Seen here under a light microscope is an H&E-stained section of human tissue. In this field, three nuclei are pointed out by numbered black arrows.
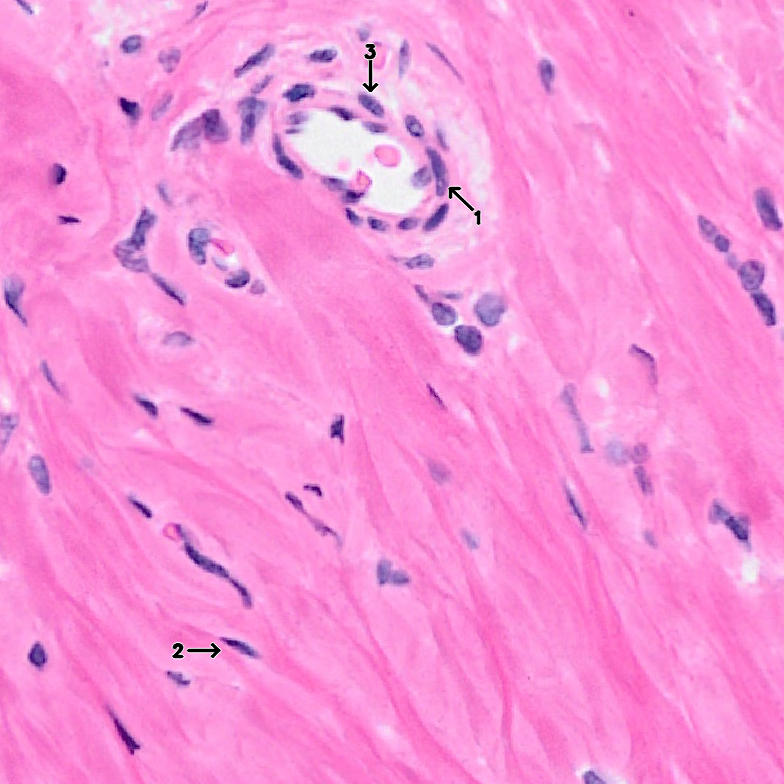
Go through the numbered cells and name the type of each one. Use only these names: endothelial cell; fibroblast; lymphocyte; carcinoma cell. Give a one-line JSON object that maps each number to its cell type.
{"1": "endothelial cell", "2": "fibroblast", "3": "endothelial cell"}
